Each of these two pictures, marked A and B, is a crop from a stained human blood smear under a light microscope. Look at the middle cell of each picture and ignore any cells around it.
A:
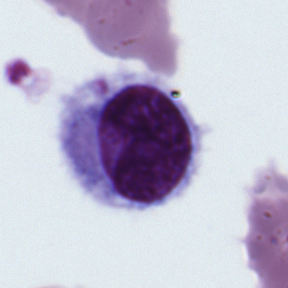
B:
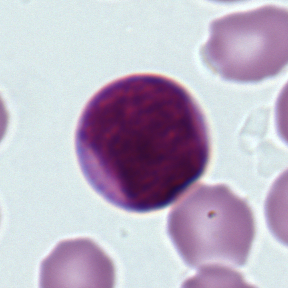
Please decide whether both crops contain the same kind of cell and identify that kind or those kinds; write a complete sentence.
No, crop A shows a hairy cell, and it is crop B that shows a blast.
